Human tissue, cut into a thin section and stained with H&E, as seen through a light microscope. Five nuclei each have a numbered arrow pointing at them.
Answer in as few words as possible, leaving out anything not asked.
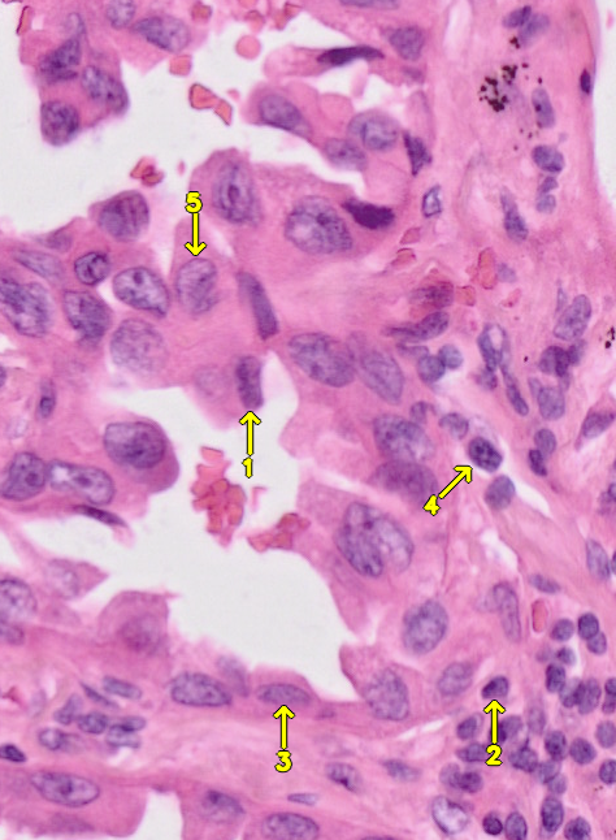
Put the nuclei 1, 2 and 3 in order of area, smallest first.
2, 3, 1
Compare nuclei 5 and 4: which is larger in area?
5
